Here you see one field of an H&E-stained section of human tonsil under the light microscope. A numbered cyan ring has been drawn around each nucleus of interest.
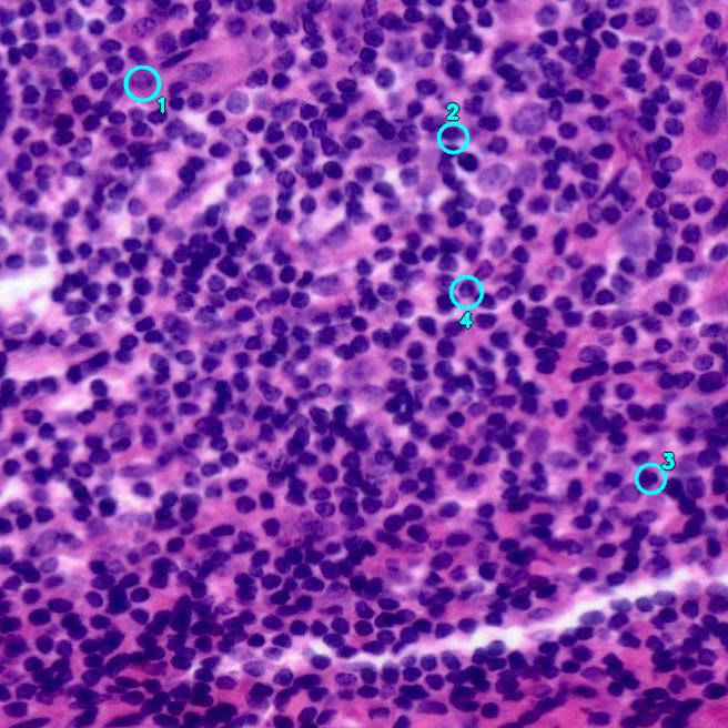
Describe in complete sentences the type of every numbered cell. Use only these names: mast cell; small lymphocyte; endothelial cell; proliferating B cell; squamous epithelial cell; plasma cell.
Cell 1 is an endothelial cell. Cells 2, 3 and 4 are small lymphocytes.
